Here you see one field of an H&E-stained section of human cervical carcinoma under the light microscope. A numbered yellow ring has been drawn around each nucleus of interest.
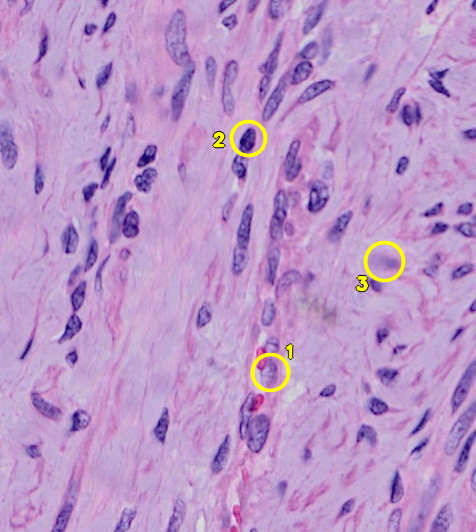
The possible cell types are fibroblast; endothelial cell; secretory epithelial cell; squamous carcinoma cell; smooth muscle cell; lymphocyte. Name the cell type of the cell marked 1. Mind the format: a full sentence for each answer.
The cell whose nucleus carries the number 1 is an endothelial cell.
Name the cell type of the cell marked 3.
The cell bearing label 3 corresponds to a smooth muscle cell.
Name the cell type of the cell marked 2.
Number 2 is placed on a lymphocyte here.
